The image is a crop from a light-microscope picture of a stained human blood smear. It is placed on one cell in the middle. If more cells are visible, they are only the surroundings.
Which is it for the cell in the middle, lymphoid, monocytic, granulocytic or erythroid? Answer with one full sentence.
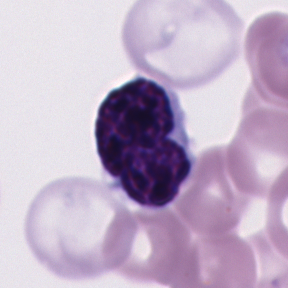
The lineage to which the central cell belongs is the erythroid lineage.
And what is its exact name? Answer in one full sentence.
The cell around which this crop is centred is a normoblast.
